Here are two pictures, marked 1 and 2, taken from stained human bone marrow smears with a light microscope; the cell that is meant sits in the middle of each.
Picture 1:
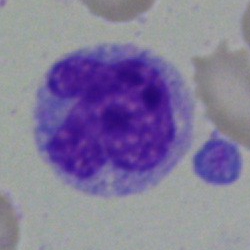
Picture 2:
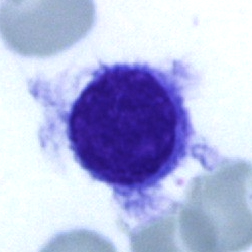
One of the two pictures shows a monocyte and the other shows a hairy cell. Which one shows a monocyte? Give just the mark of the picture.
1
